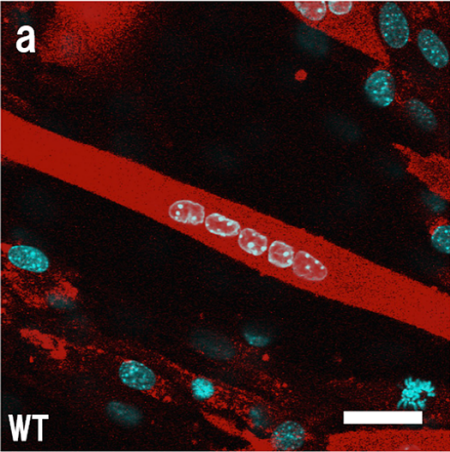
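A cultured myotube runs as a long, wide red band diagonally across the field, with a row of oval nuclei lined up end to end along its middle. These nuclei look paler and whitish, with small bright spots, unlike the bright cyan nuclei of the scattered single cells lying around the myotube.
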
